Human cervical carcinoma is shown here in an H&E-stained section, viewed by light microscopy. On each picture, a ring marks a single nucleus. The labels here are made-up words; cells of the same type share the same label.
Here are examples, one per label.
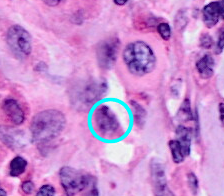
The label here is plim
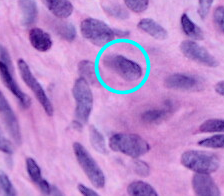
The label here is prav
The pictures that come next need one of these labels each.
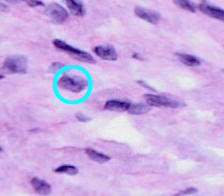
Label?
prav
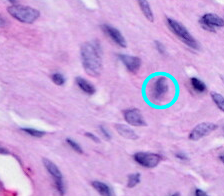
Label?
prav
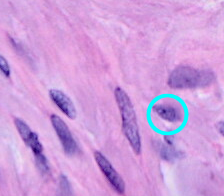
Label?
prav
